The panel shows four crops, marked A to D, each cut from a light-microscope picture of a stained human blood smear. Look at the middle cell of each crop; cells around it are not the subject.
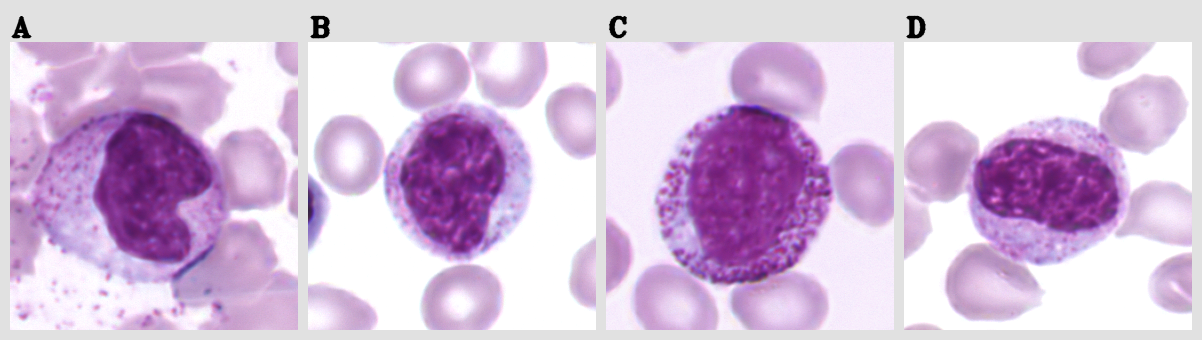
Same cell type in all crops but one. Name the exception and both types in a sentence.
Only one crop differs, namely crop C, which is a myelocyte; the others show metamyelocytes.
